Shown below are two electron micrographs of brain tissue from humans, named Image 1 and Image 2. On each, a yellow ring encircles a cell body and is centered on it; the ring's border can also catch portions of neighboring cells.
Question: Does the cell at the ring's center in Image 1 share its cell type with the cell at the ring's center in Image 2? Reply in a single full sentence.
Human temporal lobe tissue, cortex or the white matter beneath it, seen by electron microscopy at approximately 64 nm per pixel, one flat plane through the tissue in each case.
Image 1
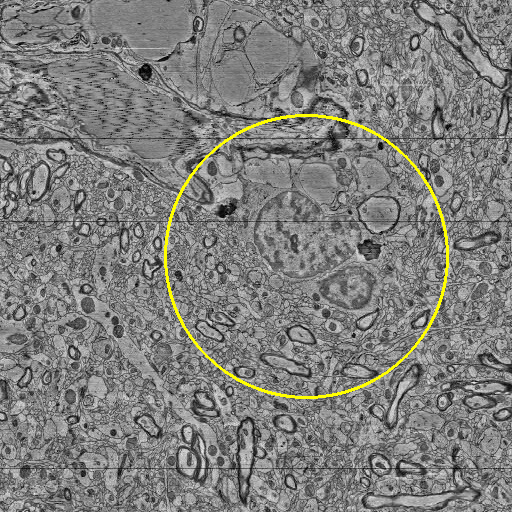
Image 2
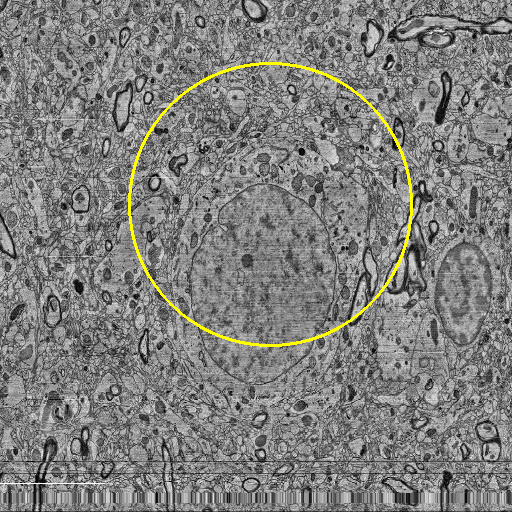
No, the two cells at the ring centers, in Image 1 and Image 2, are of two cell types.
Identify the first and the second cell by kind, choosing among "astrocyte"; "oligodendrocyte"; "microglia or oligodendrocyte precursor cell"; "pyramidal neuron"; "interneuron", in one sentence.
The one in the first picture is an oligodendrocyte, while the one in the second is a pyramidal neuron.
